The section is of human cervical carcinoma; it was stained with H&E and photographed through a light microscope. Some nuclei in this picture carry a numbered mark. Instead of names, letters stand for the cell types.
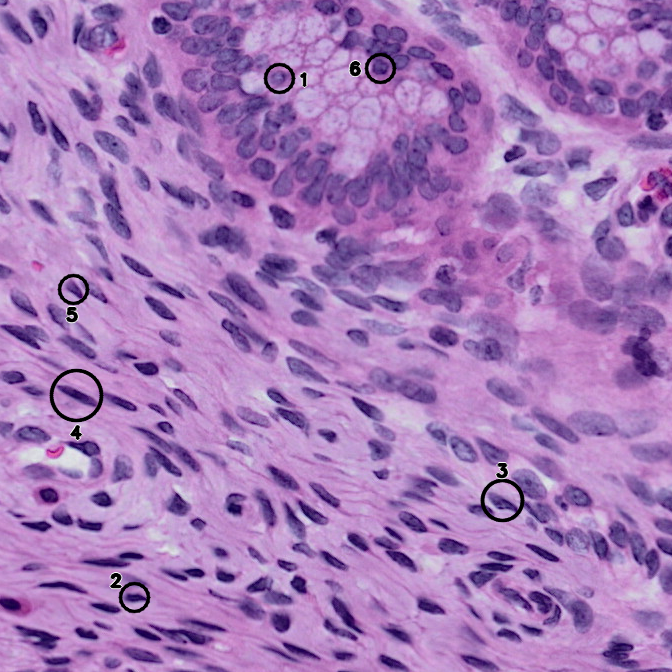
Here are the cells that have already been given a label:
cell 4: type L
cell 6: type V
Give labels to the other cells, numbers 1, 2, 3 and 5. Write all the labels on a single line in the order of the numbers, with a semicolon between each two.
type V; type L; type L; type L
